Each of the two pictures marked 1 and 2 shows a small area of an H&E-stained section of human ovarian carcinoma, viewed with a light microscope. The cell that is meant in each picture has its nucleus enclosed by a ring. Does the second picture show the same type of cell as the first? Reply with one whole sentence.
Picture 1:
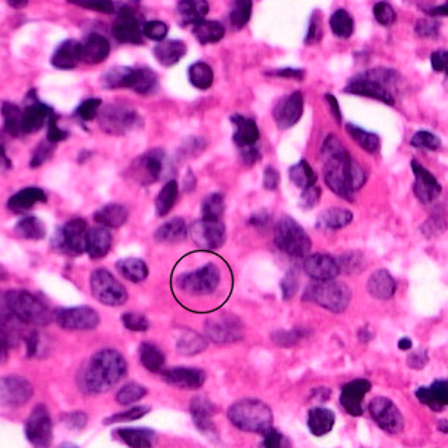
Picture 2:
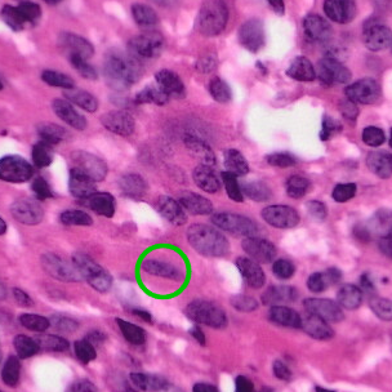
No, the types are not the same, since picture 1 shows a “macrophage or monocyte” and picture 2 an endothelial cell.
